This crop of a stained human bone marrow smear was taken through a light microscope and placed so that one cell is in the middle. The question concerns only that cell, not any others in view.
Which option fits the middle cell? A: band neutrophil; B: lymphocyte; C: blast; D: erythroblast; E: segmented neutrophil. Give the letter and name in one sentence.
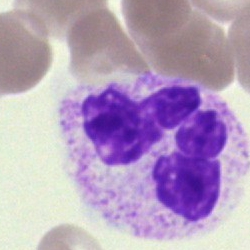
Option E is the keyed answer: the cell in the middle is a segmented neutrophil.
